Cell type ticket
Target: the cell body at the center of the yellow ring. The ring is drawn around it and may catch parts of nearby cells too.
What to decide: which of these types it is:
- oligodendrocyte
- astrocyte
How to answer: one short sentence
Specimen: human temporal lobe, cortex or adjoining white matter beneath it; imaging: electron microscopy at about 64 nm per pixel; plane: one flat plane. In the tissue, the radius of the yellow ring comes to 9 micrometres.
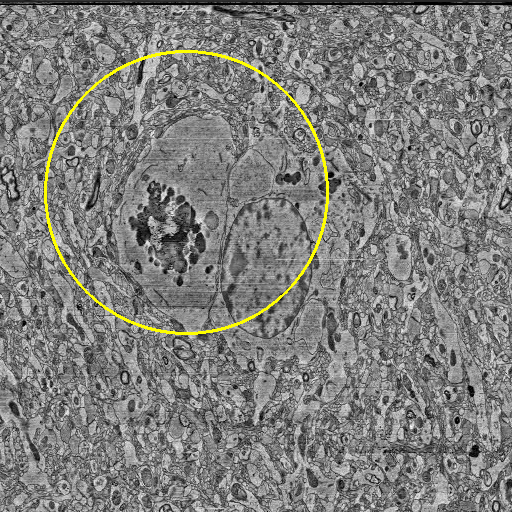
The cell at the center of the ring is an astrocyte.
